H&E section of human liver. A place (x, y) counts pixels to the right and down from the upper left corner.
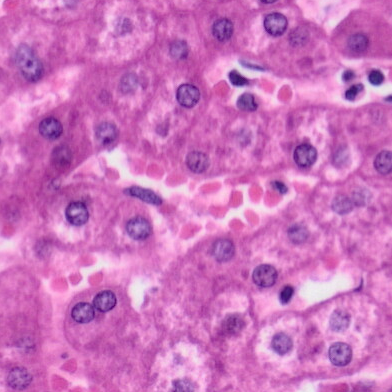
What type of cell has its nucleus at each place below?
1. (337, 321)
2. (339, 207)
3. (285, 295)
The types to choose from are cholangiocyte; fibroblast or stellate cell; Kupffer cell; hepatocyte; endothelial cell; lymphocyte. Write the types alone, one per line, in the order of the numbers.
hepatocyte
hepatocyte
lymphocyte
